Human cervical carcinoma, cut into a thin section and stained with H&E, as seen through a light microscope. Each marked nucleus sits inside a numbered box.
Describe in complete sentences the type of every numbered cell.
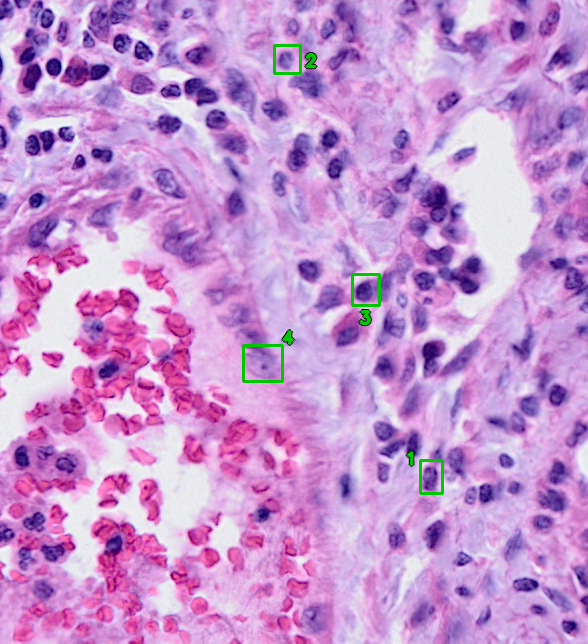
Cell 1 is a lymphocyte, cell 2 is a lymphocyte, cell 3 is a lymphocyte and cell 4 is an endothelial cell.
